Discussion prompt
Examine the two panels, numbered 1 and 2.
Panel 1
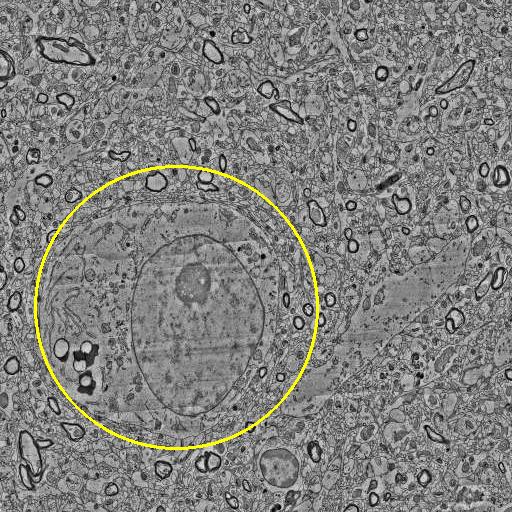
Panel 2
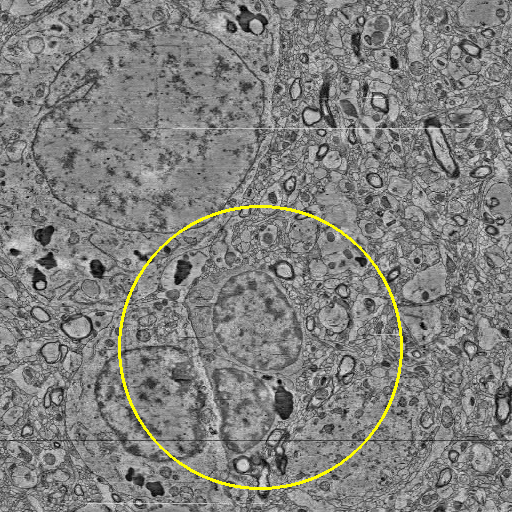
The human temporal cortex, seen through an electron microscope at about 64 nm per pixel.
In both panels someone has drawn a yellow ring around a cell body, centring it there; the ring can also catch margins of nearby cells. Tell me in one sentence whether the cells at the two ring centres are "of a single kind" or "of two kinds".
Taken together, the two cells centred in the rings of Panels 1 and 2 are of two kinds.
